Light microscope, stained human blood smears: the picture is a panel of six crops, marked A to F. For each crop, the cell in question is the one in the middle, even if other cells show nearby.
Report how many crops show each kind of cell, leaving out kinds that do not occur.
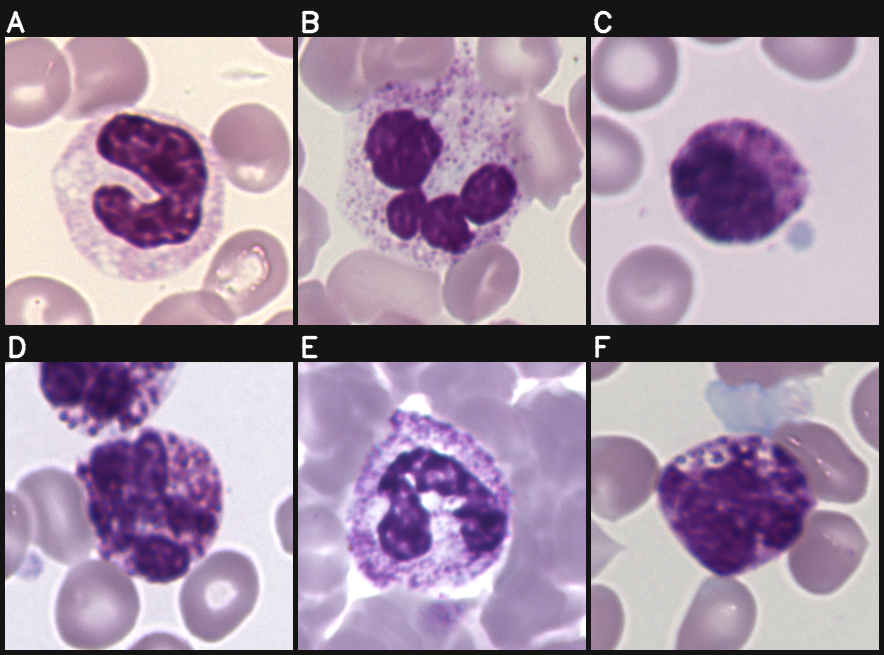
segmented neutrophil: 3
basophil: 3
